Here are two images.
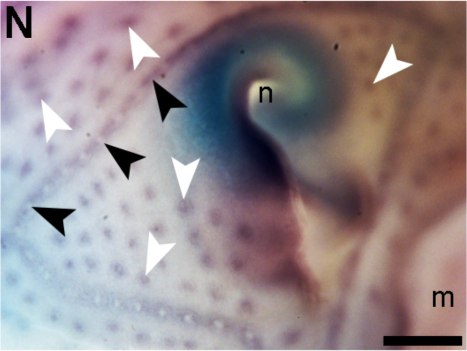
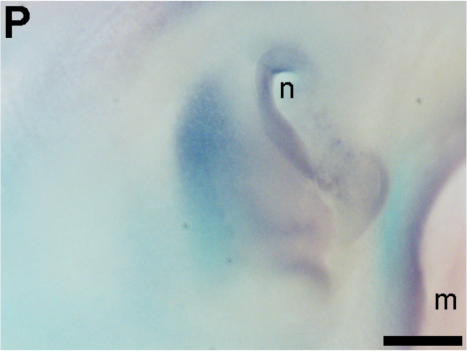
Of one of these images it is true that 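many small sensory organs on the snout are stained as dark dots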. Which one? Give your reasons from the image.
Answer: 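The first image. Second image: snout surface with diffuse blue-green tint and no separate dark dots. First image: numerous small dark purple dots in rows and scattered over the snout.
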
